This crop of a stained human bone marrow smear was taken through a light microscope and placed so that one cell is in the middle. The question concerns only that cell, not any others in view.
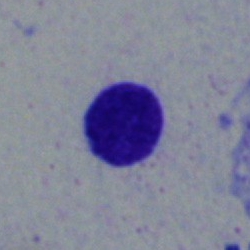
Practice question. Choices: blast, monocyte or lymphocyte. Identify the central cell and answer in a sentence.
The centrally located cell in the crop is a lymphocyte.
